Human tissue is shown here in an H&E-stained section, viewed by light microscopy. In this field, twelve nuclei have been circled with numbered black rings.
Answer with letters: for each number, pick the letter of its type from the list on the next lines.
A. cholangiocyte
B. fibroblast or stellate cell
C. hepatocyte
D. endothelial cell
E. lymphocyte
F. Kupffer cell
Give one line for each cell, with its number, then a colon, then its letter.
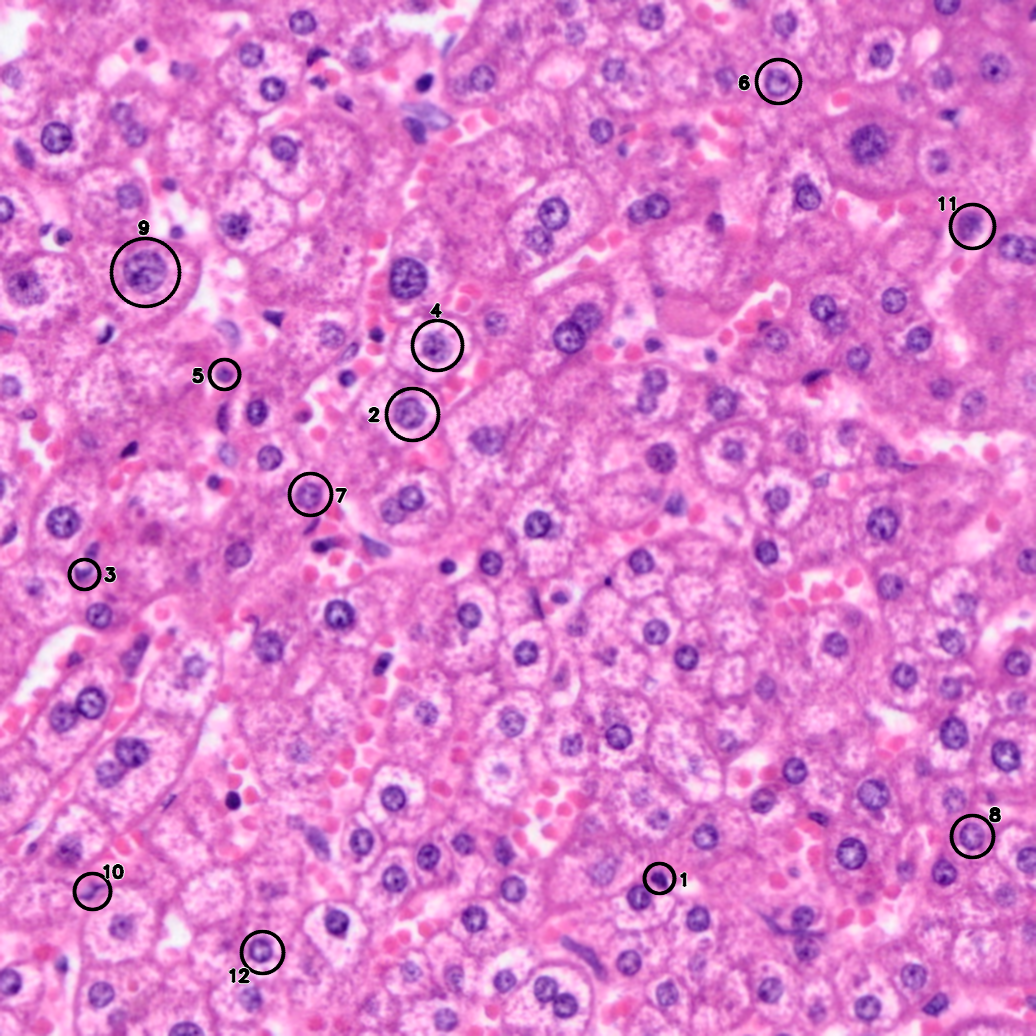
1: B
2: C
3: D
4: C
5: E
6: C
7: C
8: C
9: C
10: D
11: F
12: C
